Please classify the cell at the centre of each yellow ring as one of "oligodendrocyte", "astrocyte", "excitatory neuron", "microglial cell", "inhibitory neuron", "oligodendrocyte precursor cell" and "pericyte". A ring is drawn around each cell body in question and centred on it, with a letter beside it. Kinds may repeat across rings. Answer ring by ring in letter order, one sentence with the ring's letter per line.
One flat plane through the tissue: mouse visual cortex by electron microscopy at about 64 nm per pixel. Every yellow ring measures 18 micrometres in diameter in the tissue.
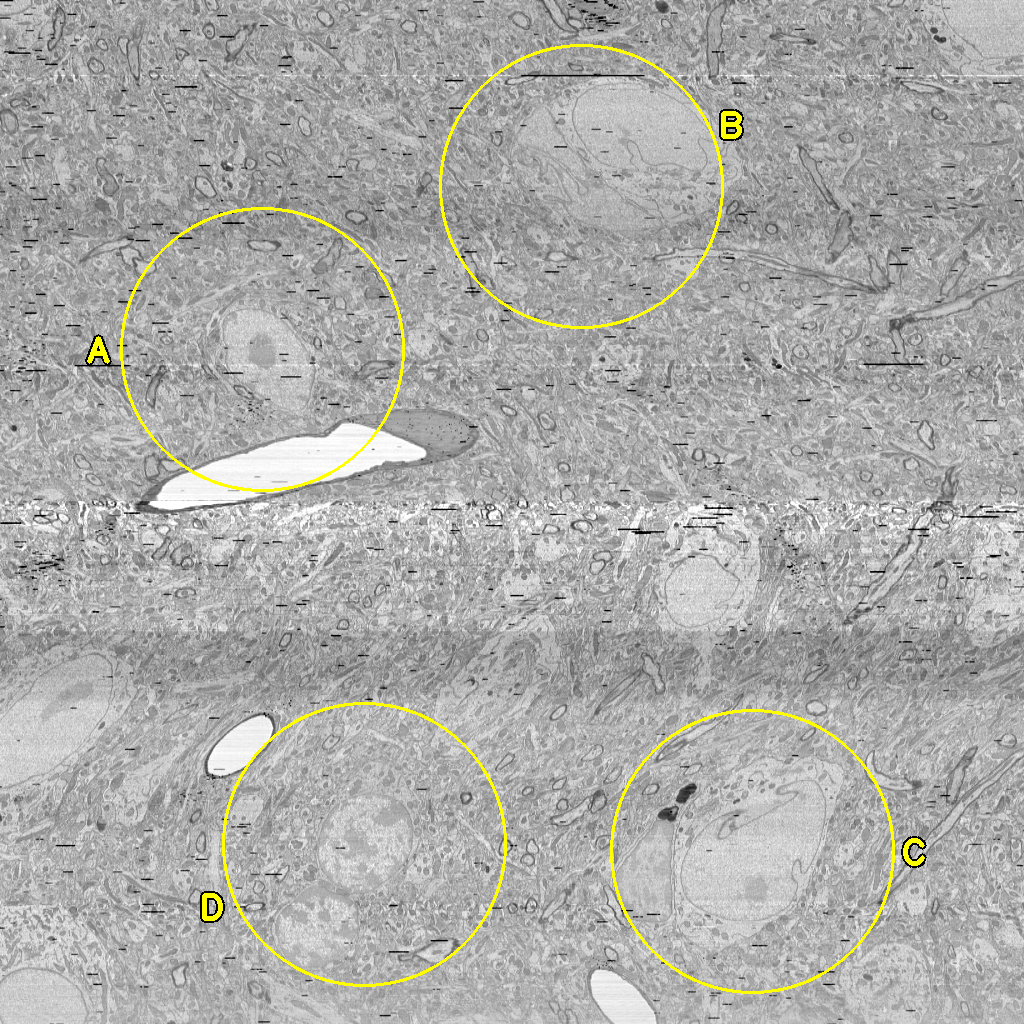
The cell at the heart of ring A is an astrocyte.
The cell at the heart of ring B is an oligodendrocyte precursor cell.
The cell at the heart of ring C is an excitatory neuron.
The cell at the heart of ring D is an oligodendrocyte.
